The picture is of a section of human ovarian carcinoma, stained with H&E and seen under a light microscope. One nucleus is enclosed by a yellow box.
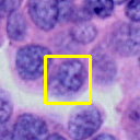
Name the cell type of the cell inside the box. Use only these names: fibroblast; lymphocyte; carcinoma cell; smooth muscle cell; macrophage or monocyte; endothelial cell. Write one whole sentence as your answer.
It is as a carcinoma cell that the cell inside the box is recorded.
